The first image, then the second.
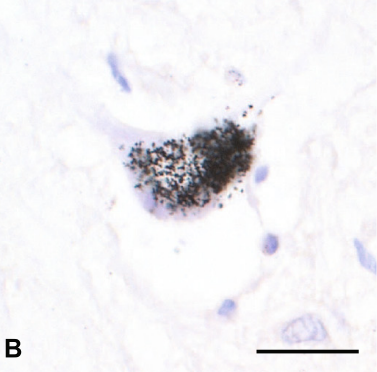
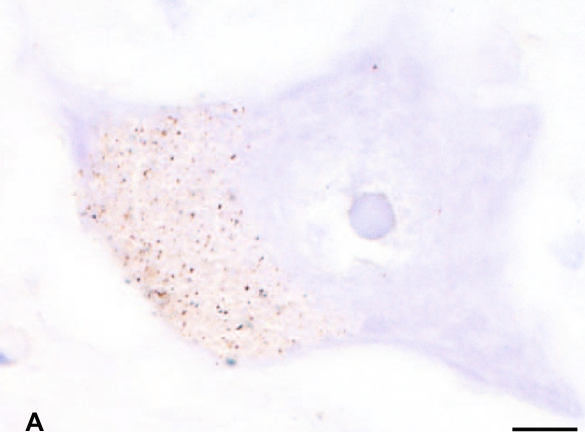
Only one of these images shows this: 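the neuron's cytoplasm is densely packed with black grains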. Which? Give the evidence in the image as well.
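First image: a small cell body crowded with a dense mass of black grains. Second image: a large cell body with only sparse fine dark grains in a yellowish area.
Conclusion: the first image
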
